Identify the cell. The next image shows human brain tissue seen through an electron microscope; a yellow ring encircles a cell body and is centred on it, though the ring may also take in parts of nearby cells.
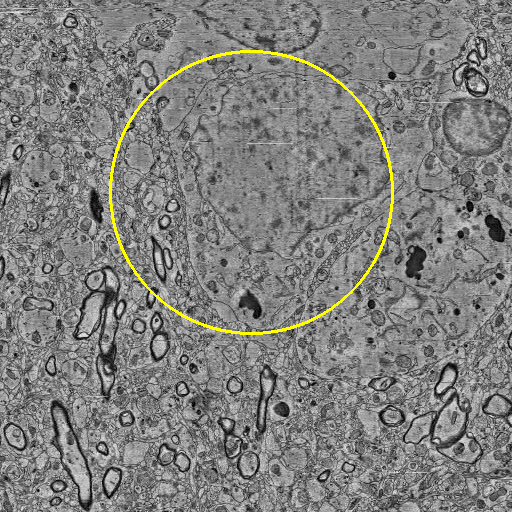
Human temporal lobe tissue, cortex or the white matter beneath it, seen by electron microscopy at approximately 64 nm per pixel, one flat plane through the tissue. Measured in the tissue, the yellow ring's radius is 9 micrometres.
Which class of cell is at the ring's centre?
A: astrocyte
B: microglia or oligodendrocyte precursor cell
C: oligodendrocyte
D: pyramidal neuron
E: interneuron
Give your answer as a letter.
E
